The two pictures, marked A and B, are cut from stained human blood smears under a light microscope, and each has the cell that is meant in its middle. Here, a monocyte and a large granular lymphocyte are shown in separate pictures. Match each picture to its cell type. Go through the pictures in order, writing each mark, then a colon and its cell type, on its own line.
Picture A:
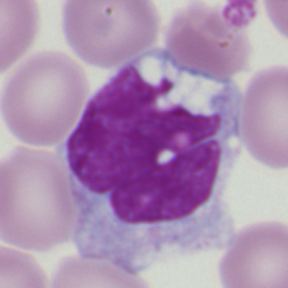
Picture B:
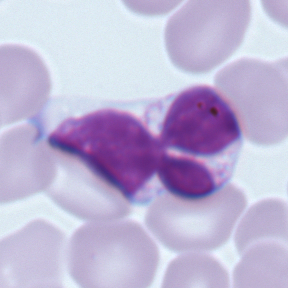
A: monocyte
B: large granular lymphocyte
